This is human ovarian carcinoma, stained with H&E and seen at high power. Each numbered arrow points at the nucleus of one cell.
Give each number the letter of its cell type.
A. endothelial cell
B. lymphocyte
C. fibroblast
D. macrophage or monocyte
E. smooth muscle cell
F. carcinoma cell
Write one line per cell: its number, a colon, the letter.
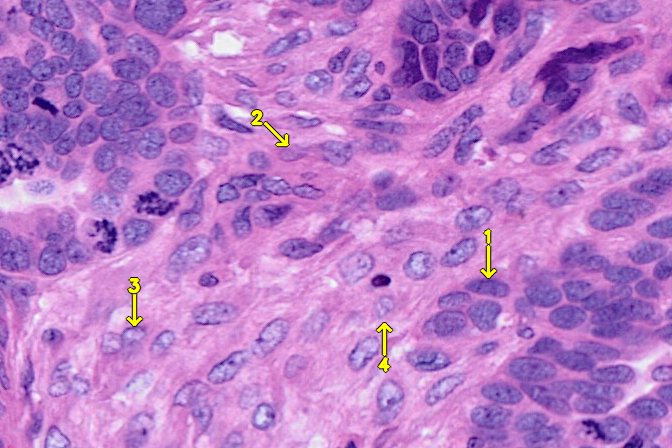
1: F
2: C
3: C
4: C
